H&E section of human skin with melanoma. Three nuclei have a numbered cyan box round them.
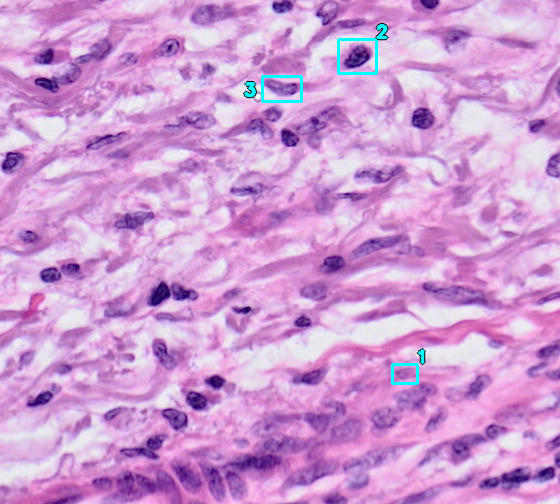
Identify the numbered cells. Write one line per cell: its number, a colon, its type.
1: fibroblast or myofibroblast
2: plasma cell
3: fibroblast or myofibroblast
